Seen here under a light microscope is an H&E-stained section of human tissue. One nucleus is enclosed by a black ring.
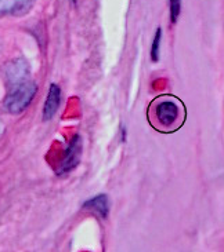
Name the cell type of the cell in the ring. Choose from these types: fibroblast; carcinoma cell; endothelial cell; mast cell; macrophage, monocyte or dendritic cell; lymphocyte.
mast cell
